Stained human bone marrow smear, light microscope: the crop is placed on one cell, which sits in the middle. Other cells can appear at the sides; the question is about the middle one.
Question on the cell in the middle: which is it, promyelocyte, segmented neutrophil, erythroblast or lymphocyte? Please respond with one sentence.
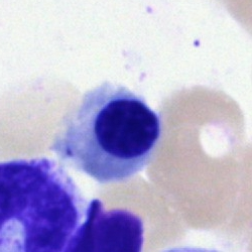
At the crop's centre, the cell is an erythroblast.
